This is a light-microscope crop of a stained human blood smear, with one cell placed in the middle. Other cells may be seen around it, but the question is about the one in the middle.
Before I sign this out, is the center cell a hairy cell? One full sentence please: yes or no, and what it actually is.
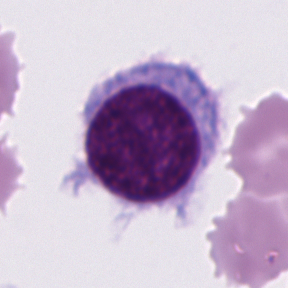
Yes, placed in the middle of the crop is a hairy cell.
